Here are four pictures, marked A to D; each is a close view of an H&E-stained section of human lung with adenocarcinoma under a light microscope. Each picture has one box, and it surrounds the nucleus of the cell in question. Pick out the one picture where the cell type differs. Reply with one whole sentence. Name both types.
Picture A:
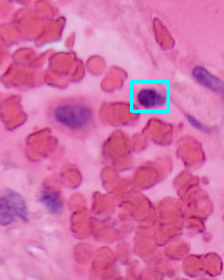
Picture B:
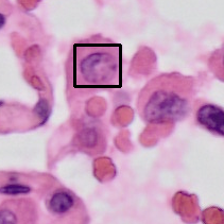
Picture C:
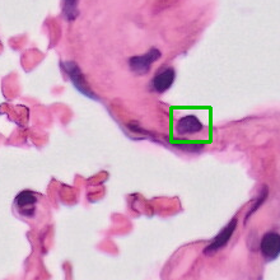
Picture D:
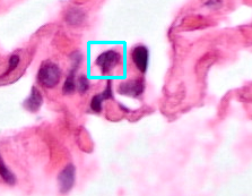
Picture B differs, because its cell is a “macrophage or monocyte” and the rest are type I pneumocytes.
